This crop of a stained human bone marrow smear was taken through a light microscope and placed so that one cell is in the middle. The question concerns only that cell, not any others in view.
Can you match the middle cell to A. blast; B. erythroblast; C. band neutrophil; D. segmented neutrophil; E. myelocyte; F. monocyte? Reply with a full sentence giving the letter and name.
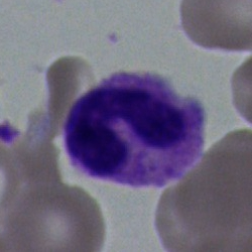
Option C is correct here, and the cell in the middle is a band neutrophil.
